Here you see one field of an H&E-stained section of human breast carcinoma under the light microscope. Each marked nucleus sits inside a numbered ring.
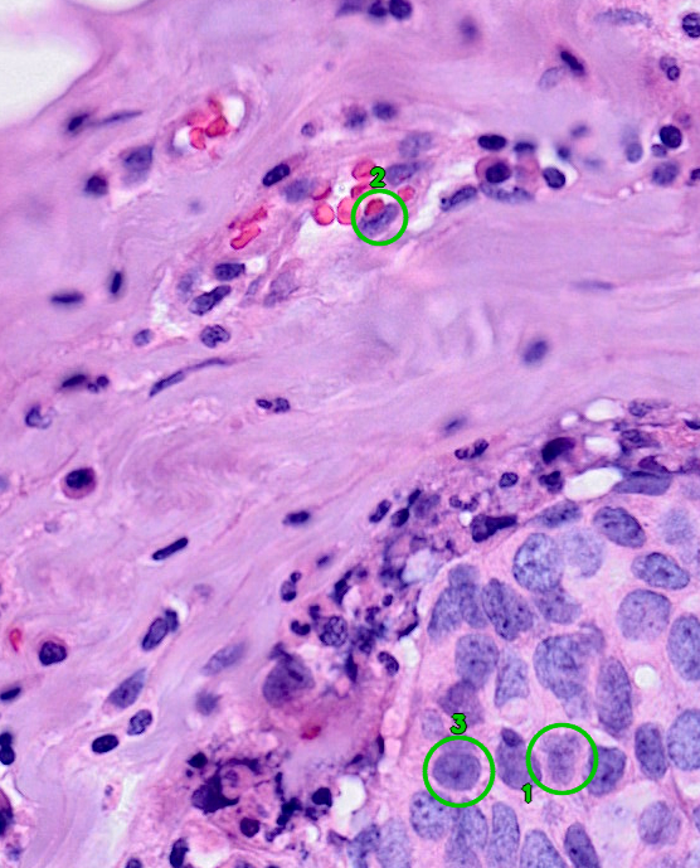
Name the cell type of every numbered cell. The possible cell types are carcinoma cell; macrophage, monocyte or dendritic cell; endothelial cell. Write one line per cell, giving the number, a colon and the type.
1: carcinoma cell
2: endothelial cell
3: carcinoma cell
